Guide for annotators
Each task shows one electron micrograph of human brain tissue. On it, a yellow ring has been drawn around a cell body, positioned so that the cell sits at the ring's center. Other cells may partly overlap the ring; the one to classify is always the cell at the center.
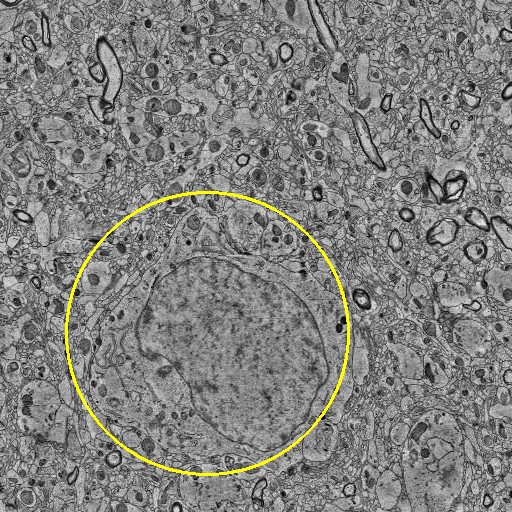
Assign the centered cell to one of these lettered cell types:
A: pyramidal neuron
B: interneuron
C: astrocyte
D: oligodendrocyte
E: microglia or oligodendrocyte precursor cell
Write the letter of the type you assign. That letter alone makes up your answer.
B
